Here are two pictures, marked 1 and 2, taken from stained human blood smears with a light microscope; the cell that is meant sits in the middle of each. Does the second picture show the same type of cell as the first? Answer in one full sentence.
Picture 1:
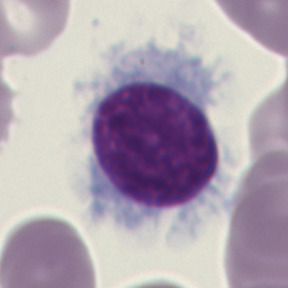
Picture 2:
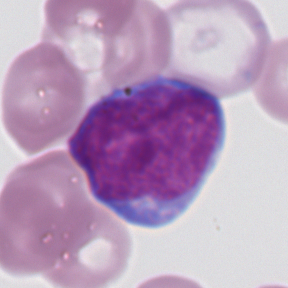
No, picture 1 shows a hairy cell and picture 2 shows a myeloblast.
